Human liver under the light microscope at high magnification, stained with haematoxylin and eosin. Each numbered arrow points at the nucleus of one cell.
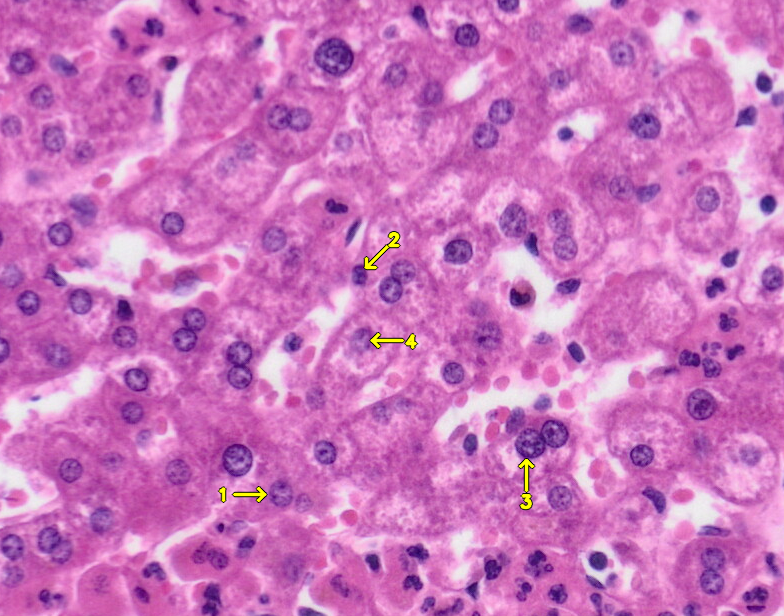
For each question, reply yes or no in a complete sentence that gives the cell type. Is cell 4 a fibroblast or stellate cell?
No, cell 4 isn't a fibroblast or stellate cell; it's a hepatocyte.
